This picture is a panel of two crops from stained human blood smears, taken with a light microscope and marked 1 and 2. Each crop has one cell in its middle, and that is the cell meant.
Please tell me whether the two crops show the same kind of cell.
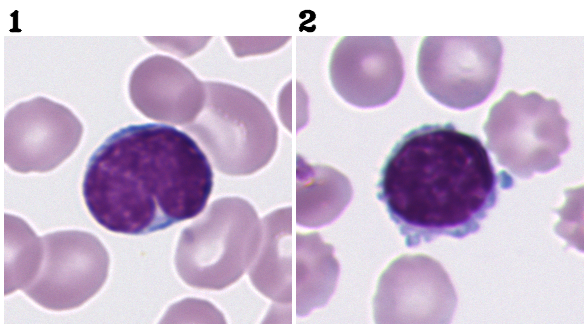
yes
